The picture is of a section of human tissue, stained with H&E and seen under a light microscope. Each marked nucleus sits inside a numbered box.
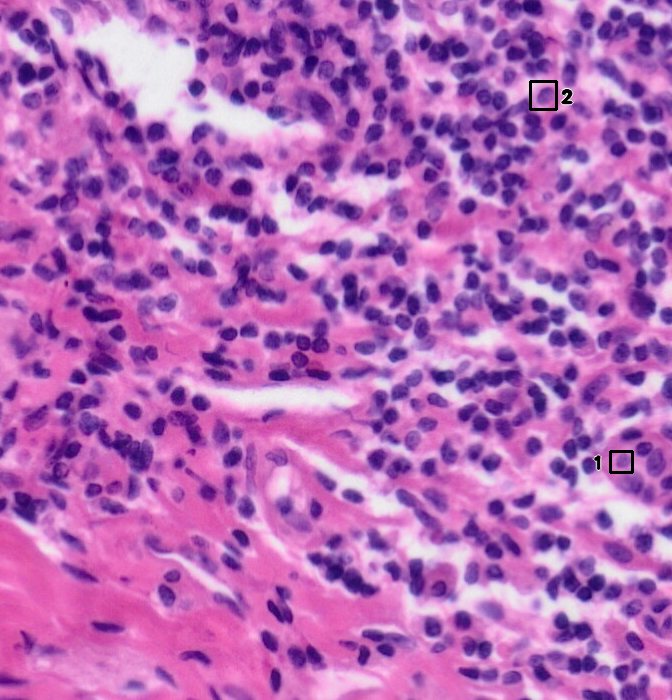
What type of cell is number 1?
endothelial cell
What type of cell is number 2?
mast cell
